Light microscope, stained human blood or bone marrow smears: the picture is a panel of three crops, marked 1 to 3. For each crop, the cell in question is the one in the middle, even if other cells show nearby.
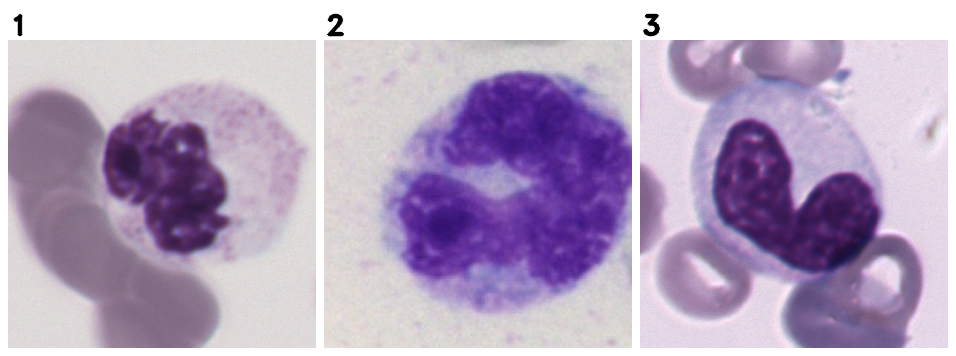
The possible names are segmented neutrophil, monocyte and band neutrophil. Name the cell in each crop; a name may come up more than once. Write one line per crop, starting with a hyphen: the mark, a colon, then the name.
- 1: segmented neutrophil
- 2: monocyte
- 3: band neutrophil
